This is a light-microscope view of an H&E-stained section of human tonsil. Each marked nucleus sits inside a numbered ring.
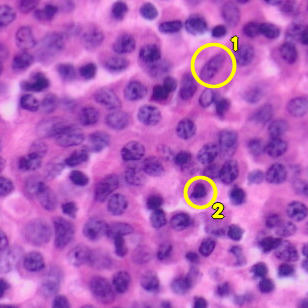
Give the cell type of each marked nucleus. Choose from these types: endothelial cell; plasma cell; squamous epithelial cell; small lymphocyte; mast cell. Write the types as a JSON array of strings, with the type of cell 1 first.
["squamous epithelial cell", "plasma cell"]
